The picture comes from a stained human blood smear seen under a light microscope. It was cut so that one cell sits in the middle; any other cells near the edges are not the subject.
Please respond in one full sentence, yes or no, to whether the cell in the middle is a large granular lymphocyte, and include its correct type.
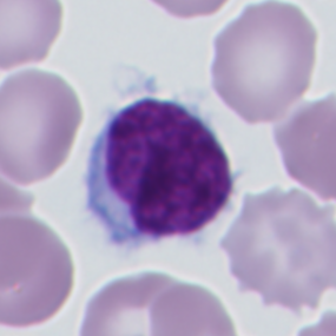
No, the central cell is classed as a hairy cell and not as a large granular lymphocyte.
